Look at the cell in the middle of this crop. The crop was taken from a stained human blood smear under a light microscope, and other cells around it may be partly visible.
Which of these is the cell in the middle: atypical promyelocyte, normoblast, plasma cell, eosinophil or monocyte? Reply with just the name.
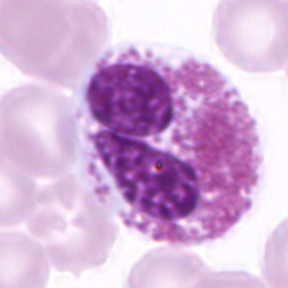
eosinophil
